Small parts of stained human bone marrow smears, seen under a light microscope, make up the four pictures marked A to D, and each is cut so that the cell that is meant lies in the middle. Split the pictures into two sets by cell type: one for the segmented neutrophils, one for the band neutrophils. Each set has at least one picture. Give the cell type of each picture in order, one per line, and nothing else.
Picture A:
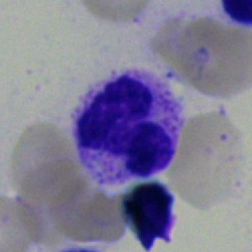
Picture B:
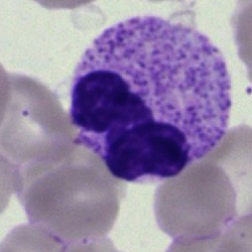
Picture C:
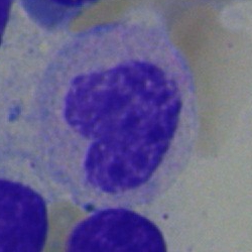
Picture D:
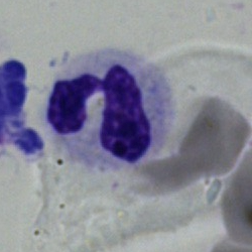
segmented neutrophil
segmented neutrophil
band neutrophil
segmented neutrophil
